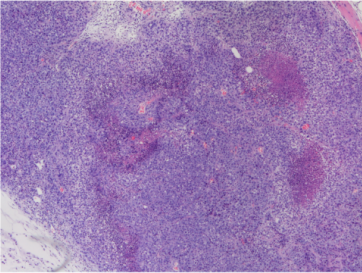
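The tumor is a large, solid mass that fills almost the whole field. It is made of sheets of closely packed cells whose dark purple nuclei give it a strongly basophilic look. Little stroma divides the cells into distinct groups. Scattered pink areas lie within the mass, and some of them look like bleeding or dead tissue. A thin rim of paler, loose connective tissue runs along one edge of the tumor.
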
